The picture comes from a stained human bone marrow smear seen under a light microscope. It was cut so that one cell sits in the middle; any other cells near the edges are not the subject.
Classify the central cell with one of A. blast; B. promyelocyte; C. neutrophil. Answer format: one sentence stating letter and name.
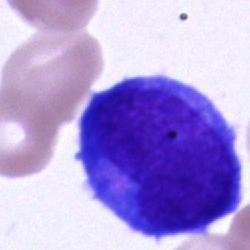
Option A holds up: the cell in the middle is a blast.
